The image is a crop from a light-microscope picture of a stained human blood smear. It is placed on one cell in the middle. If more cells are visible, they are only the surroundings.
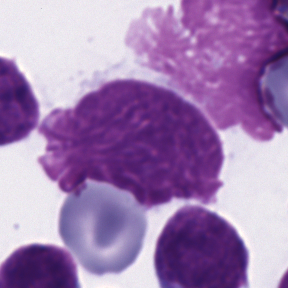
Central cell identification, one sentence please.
The centrally positioned cell in the crop represents a smudge cell.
